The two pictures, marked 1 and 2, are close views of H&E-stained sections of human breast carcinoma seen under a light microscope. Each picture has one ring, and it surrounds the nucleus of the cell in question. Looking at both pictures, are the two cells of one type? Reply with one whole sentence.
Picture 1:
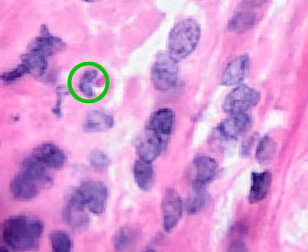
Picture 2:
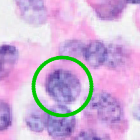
No. Picture 1 shows an endothelial cell, but picture 2 shows a carcinoma cell.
